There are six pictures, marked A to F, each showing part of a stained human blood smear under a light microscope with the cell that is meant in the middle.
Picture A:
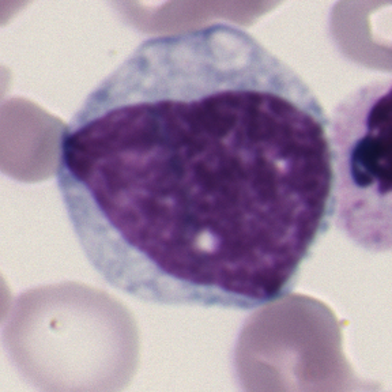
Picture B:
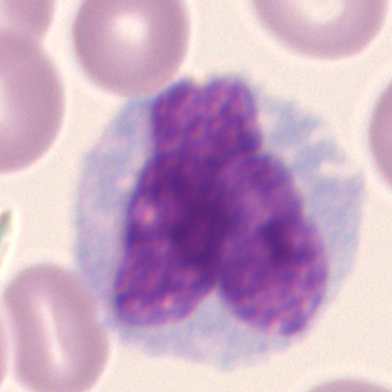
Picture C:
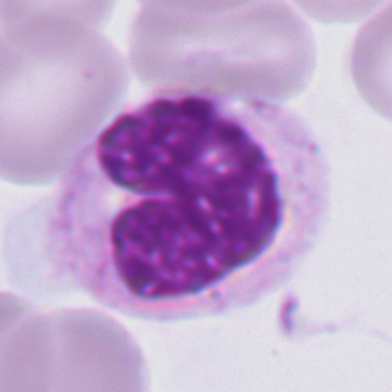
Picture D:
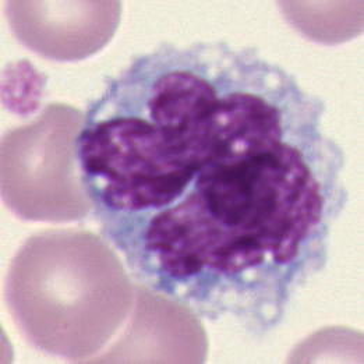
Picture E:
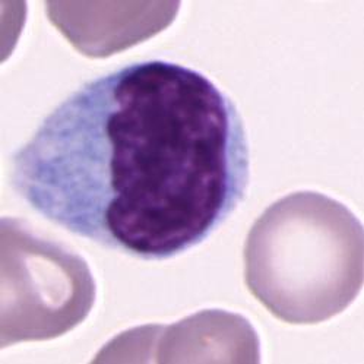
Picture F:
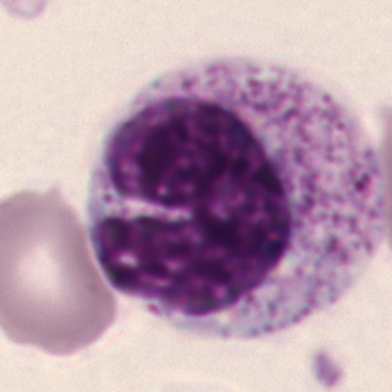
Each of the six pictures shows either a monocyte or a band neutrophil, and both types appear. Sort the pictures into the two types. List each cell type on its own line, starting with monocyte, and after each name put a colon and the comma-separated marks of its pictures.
monocyte: A, B, D, E
band neutrophil: C, F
